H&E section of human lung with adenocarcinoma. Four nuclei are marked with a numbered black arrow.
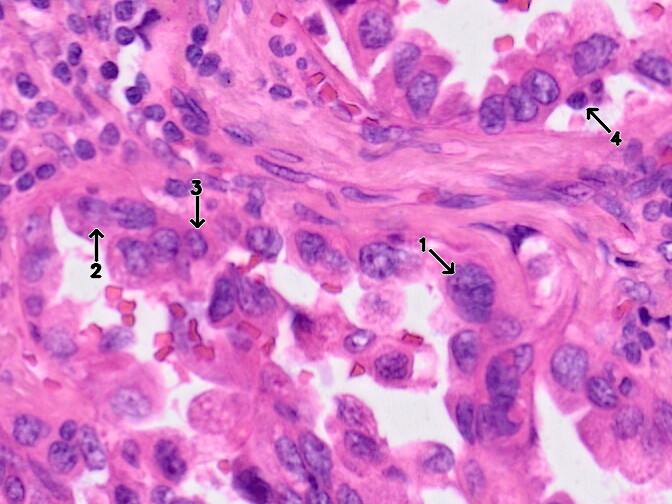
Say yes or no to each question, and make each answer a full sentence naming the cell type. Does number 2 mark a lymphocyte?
No, cell 2 is a carcinoma cell, not a lymphocyte.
